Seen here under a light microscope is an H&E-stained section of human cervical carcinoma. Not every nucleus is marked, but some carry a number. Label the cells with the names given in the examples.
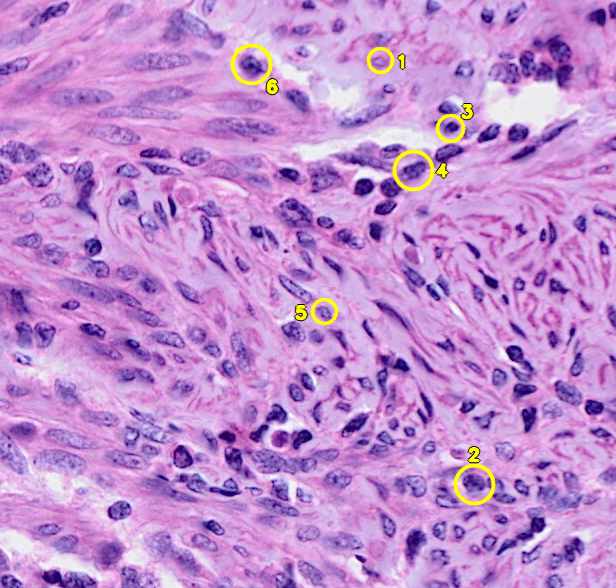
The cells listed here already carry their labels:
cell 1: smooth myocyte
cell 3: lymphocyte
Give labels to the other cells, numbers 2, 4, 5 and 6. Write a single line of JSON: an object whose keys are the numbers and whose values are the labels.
{"2": "lymphocyte", "4": "lymphocyte", "5": "smooth myocyte", "6": "lymphocyte"}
